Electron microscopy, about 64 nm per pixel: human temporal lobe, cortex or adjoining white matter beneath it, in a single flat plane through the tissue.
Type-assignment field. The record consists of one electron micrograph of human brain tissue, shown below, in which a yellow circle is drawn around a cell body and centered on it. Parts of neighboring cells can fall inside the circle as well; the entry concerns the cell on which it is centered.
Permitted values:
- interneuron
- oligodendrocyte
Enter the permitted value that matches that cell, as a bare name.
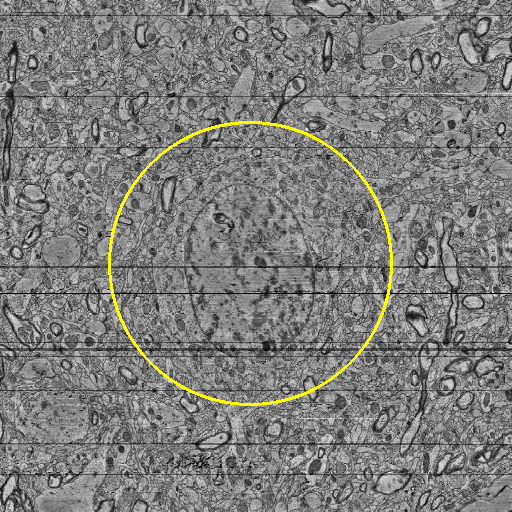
interneuron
